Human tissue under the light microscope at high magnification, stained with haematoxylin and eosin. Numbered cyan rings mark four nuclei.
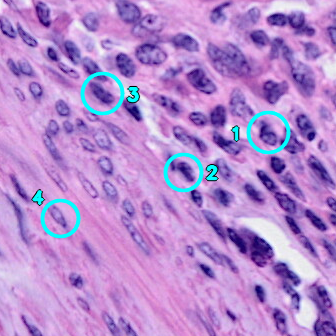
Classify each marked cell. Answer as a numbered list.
1. lymphocyte
2. lymphocyte
3. lymphocyte
4. smooth muscle cell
